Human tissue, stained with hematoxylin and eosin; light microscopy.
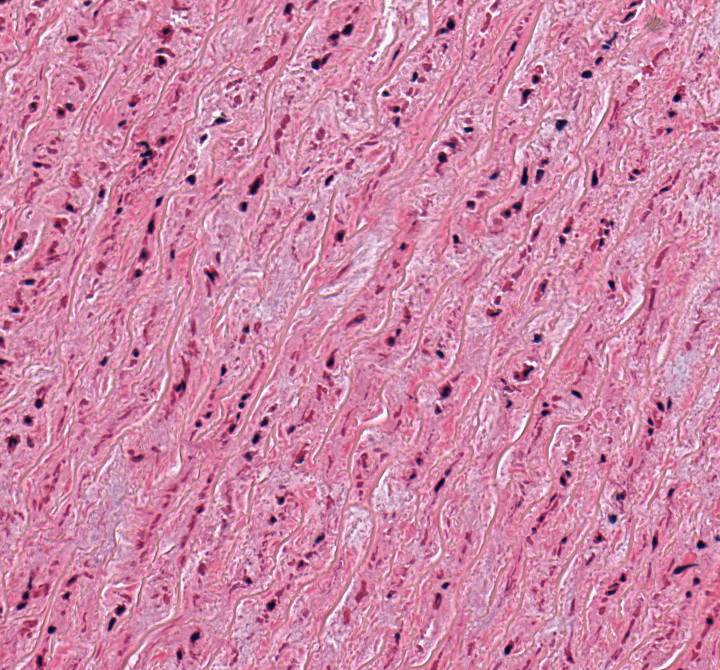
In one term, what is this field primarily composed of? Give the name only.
tunica media of an artery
